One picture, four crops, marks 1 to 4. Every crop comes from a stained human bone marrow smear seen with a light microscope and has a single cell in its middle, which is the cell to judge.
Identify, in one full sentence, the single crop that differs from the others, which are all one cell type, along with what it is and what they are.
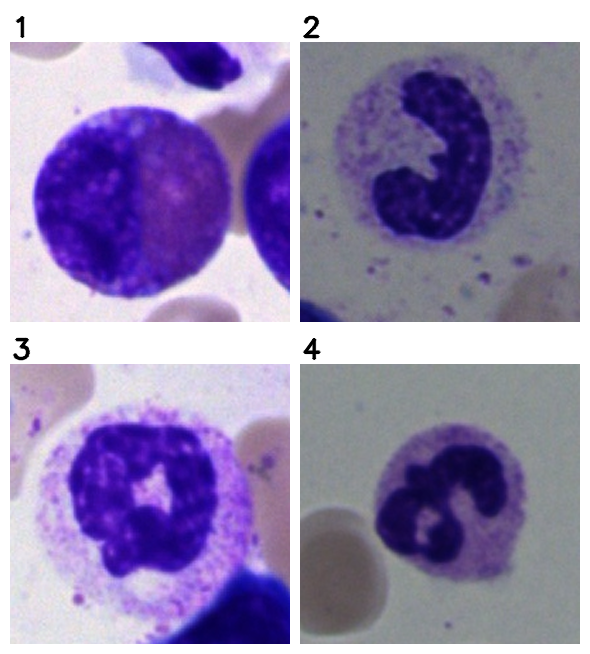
All of the other crops show segmented neutrophils, while crop 1 shows an eosinophil instead.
